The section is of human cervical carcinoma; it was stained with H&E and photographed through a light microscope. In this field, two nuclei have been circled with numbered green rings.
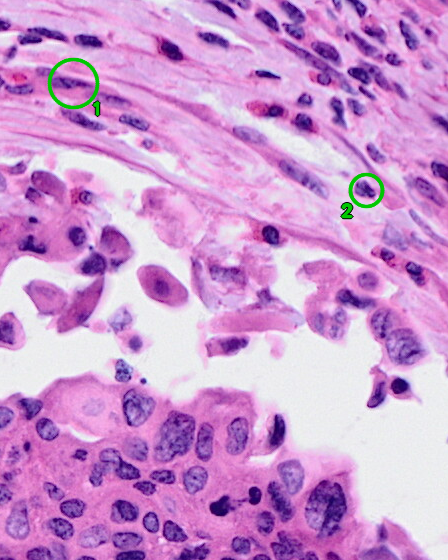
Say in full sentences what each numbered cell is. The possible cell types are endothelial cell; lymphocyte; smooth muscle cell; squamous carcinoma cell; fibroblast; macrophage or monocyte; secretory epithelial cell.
Cell 1 is an endothelial cell and cell 2 is a lymphocyte.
